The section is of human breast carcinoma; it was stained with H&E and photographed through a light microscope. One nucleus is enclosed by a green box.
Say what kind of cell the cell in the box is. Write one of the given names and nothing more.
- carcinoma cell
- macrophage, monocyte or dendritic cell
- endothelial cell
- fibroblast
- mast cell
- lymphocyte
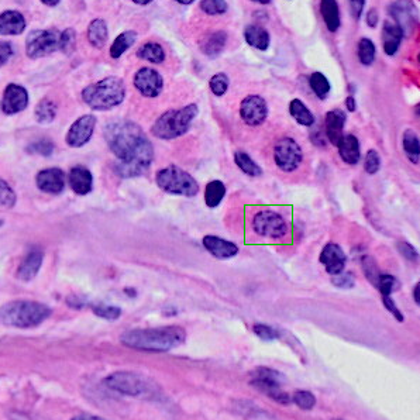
mast cell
